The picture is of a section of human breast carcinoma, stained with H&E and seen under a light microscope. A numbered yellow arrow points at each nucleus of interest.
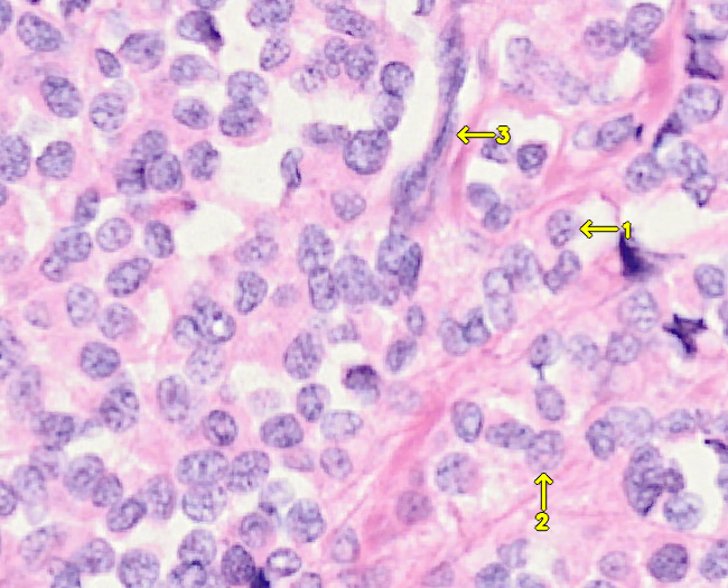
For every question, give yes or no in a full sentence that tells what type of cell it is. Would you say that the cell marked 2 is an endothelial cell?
No, the cell identified by number 2 is a carcinoma cell, not an endothelial cell.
